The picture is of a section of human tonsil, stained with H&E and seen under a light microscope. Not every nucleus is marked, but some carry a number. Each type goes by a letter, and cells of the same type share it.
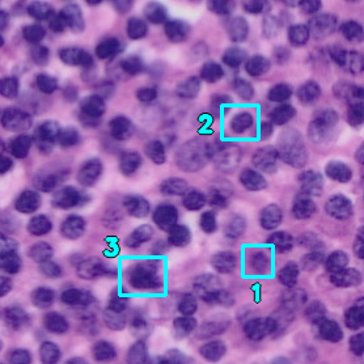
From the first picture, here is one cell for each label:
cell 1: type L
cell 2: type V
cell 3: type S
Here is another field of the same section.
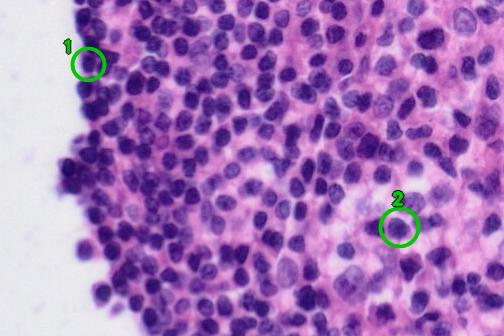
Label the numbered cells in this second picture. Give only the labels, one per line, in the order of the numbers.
type V
type S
